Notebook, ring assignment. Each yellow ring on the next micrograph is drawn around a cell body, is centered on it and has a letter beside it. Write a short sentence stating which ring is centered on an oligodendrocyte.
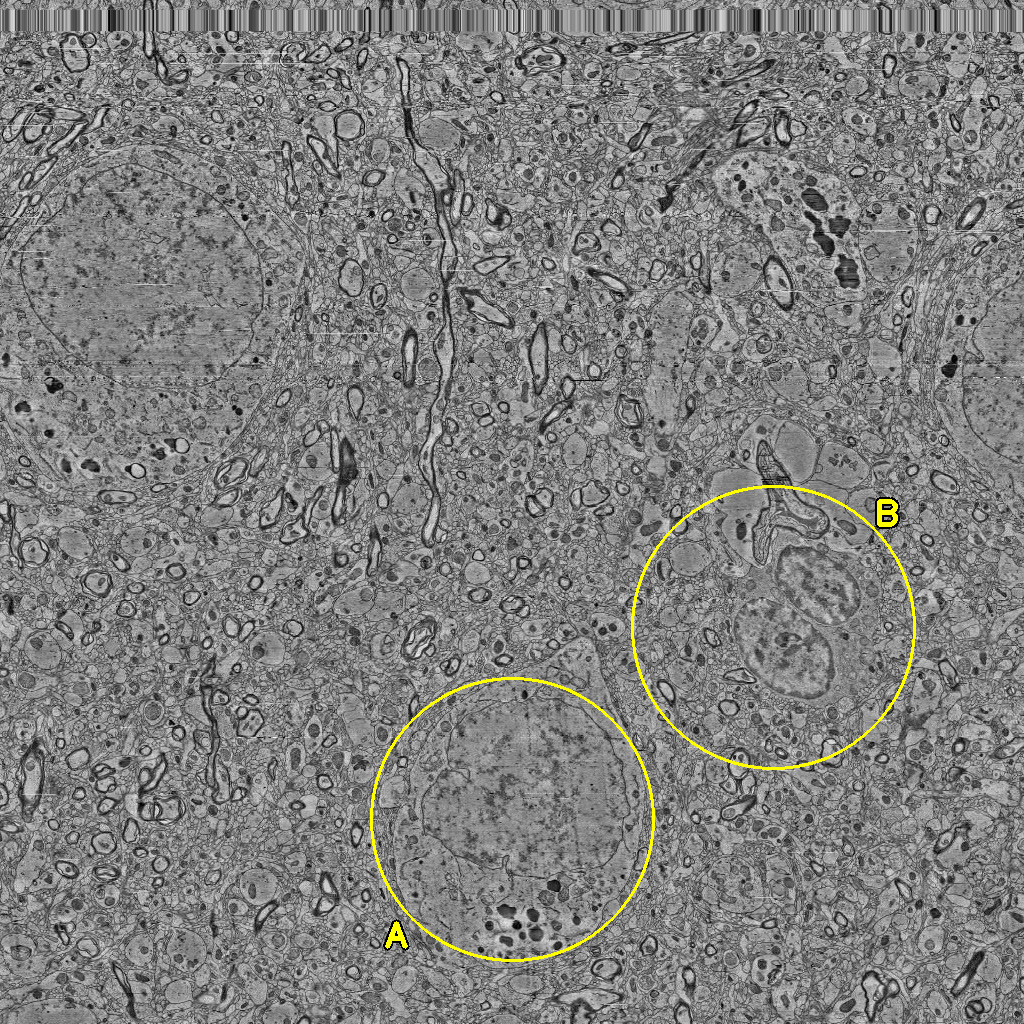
Ring B is centered on it.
